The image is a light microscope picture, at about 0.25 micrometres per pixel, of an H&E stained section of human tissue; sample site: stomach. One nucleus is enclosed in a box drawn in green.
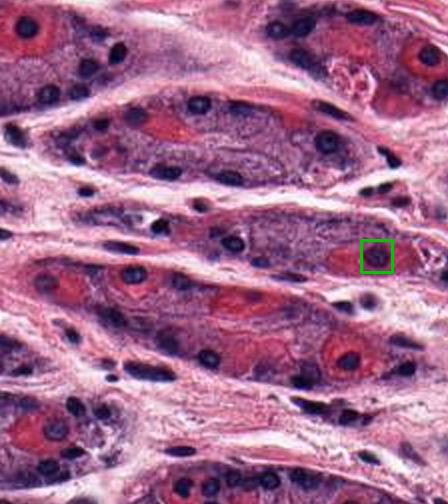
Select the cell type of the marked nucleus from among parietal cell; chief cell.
parietal cell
